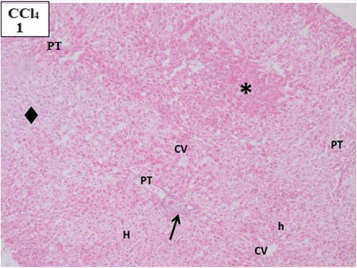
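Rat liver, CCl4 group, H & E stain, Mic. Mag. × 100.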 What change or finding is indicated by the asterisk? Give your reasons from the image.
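The asterisk lies in a band of tissue that is pinker and denser than its surroundings. Surrounding areas are paler and more vacuolated. That points to this answer: eosinophilic hepatocytes.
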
